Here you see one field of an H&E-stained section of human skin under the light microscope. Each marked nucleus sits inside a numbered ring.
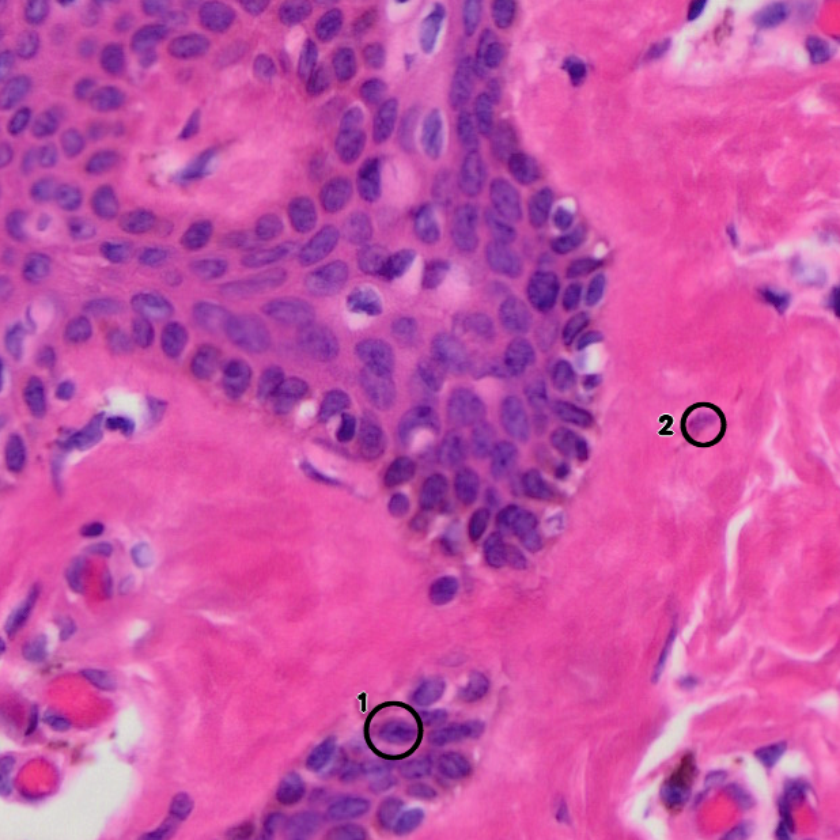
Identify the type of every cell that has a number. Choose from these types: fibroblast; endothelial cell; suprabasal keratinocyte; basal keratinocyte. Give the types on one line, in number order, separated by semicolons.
basal keratinocyte; fibroblast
